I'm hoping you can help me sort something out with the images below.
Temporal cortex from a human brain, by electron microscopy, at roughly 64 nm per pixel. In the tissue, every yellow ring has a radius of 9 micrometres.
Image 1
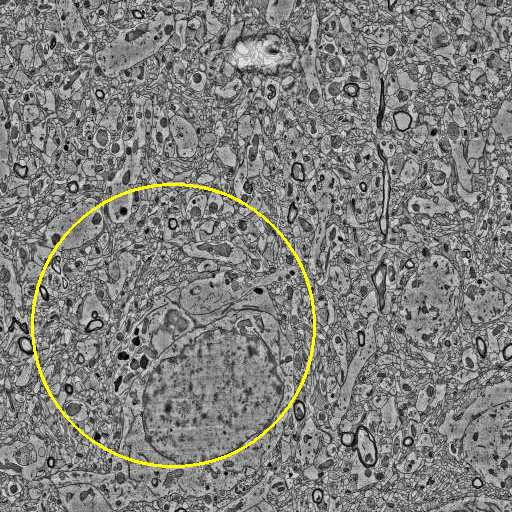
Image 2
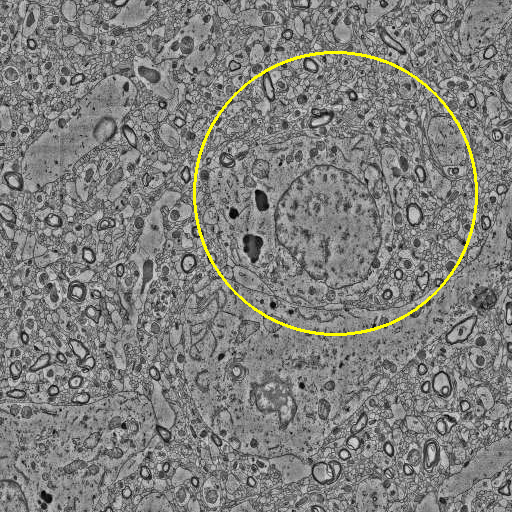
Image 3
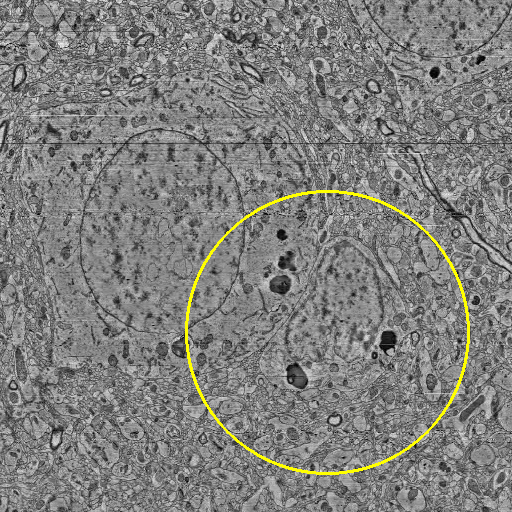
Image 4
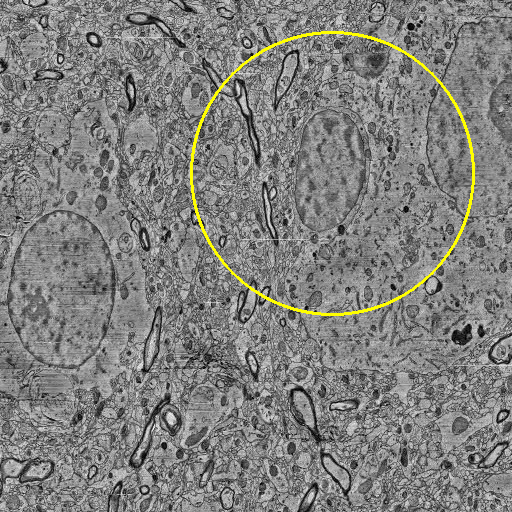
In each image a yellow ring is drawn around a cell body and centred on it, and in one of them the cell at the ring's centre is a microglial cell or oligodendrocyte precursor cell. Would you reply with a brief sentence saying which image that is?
In Image 1, the cell at the centre of the ring is the one you asked about.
